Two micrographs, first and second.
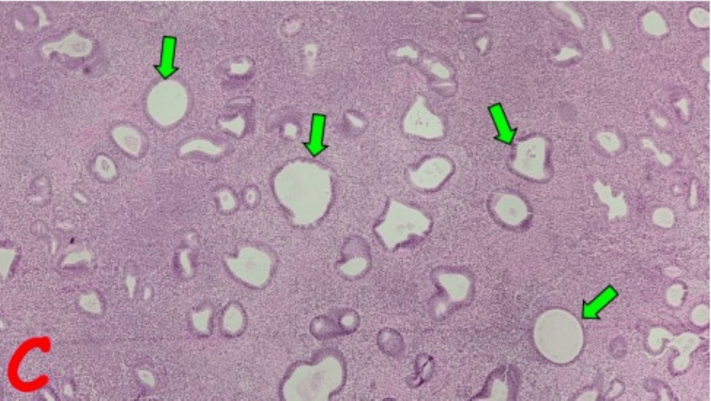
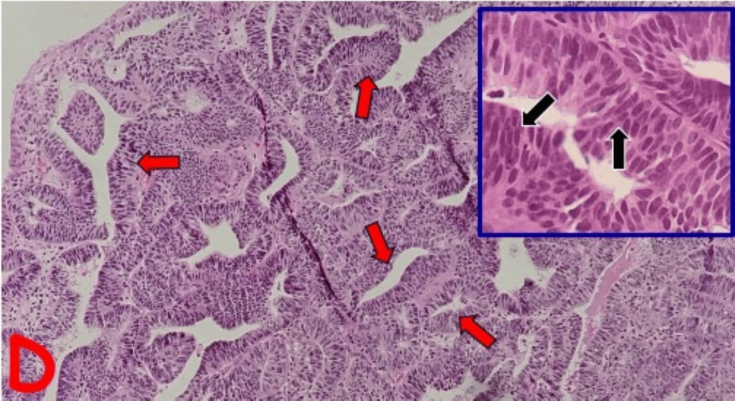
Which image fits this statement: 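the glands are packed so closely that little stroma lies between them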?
The second image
